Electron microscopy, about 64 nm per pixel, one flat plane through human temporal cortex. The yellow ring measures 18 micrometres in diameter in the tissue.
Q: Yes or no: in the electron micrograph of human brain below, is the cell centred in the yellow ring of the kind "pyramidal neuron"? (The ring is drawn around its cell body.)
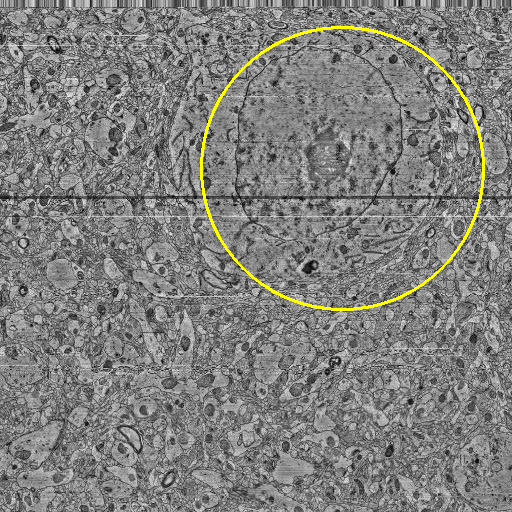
yes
